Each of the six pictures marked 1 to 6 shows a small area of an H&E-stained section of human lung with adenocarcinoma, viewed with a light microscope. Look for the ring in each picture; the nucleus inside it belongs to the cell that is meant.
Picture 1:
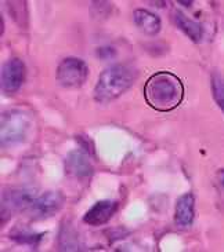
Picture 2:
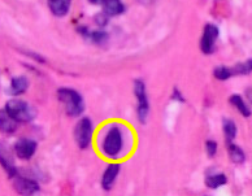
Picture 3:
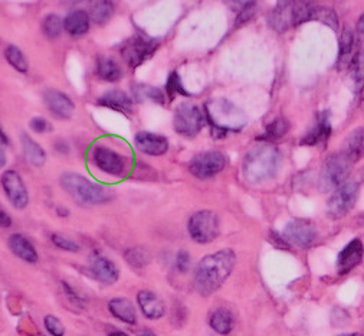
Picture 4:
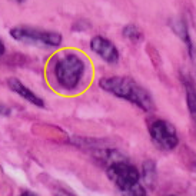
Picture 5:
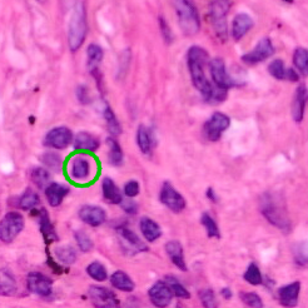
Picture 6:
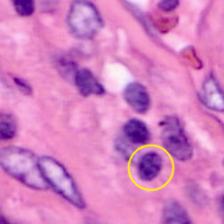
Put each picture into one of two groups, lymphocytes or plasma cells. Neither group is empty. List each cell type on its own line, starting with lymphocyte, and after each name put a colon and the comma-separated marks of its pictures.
lymphocyte: 2, 5, 6
plasma cell: 1, 3, 4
